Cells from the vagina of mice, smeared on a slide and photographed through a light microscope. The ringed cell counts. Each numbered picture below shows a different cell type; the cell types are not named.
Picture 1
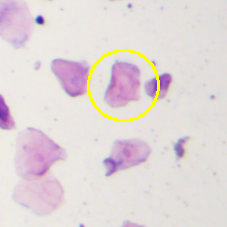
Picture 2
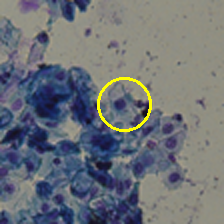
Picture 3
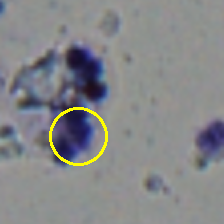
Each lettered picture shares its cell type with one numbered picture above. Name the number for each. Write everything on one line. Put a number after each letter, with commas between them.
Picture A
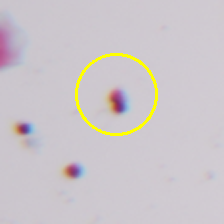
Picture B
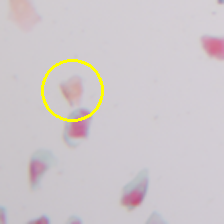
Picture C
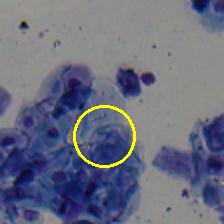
A 3, B 1, C 1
